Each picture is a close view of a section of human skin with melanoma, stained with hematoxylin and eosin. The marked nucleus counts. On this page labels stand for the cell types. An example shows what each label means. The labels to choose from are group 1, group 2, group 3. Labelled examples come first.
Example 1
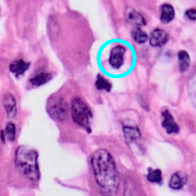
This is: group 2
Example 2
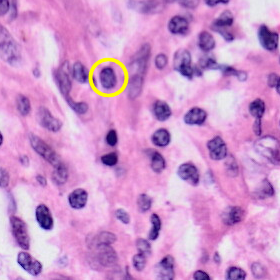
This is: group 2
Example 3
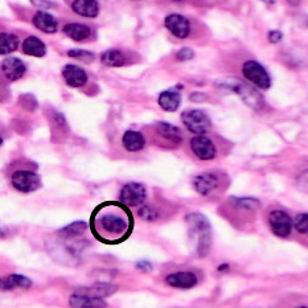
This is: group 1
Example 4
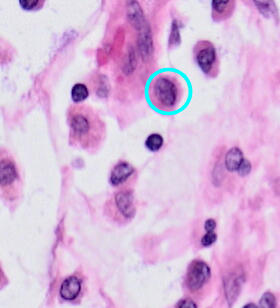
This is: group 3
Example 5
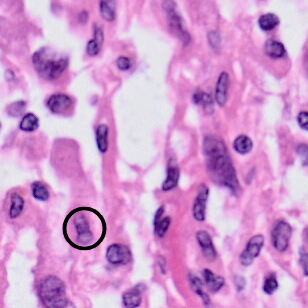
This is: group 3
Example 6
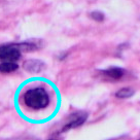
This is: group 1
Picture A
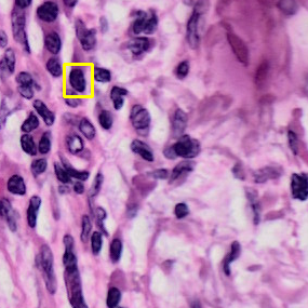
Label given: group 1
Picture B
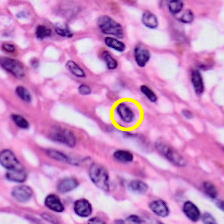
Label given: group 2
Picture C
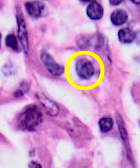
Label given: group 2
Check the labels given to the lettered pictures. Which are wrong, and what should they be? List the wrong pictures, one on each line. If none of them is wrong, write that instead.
Every label is right.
